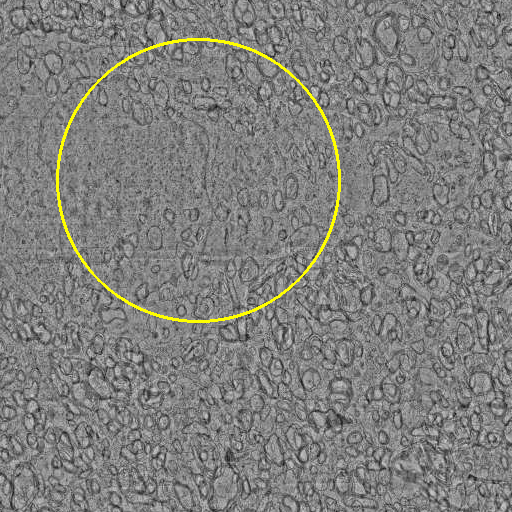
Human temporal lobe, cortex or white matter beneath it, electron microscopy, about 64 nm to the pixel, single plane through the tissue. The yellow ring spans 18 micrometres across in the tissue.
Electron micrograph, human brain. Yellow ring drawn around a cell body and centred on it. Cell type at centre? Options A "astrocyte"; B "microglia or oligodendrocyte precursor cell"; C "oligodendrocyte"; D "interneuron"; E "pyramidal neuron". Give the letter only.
E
